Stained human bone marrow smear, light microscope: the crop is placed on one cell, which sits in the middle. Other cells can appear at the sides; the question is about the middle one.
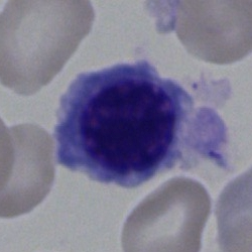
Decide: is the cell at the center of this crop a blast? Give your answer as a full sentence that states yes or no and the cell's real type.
No, it is a normoblast rather than a blast that the middle of the crop contains.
